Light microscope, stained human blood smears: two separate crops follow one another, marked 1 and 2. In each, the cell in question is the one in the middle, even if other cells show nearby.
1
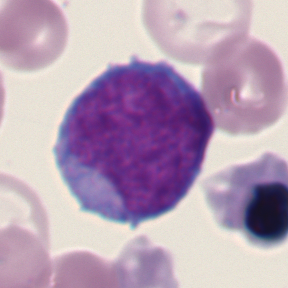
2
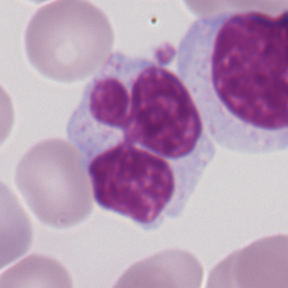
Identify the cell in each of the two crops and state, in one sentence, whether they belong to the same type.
No, cell 1 is a myeloblast, and cell 2 is a large granular lymphocyte.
